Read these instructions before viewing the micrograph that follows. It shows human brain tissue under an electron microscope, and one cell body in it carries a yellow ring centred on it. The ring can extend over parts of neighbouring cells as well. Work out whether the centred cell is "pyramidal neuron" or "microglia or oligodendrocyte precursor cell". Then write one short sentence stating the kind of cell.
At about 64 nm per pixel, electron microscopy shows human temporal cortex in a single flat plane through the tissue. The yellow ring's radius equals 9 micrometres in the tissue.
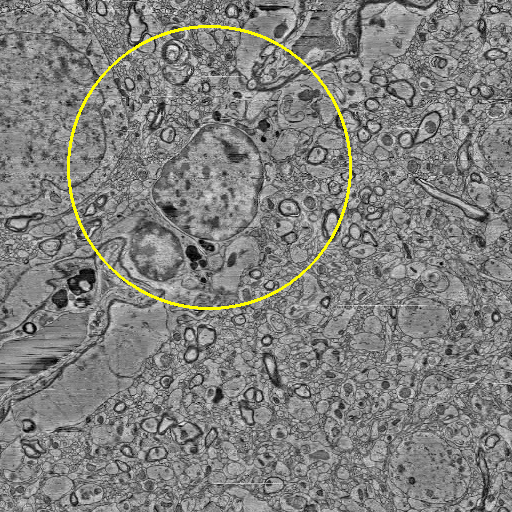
The ringed cell is a microglial cell or oligodendrocyte precursor cell.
